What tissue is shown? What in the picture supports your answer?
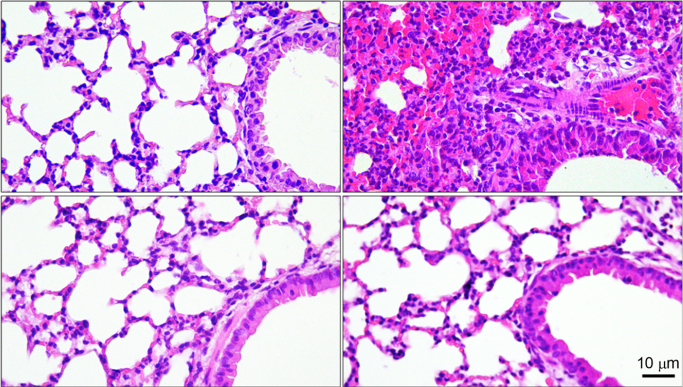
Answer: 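Lung. Thin-walled air spaces separated by delicate septa fill most images.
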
